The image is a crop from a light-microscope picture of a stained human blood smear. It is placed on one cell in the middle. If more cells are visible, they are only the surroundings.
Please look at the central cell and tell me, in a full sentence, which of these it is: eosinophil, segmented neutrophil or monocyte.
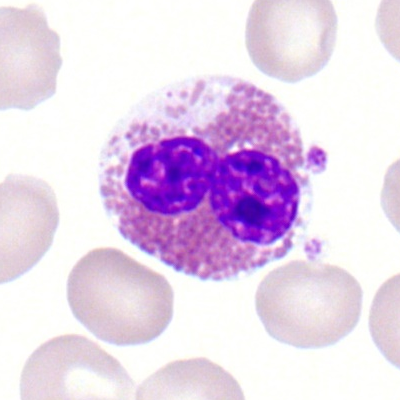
The middle cell in this particular crop is an eosinophil.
